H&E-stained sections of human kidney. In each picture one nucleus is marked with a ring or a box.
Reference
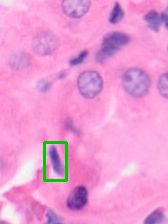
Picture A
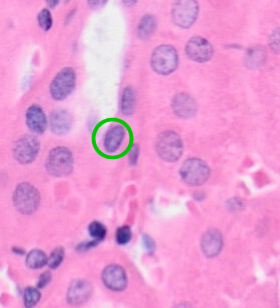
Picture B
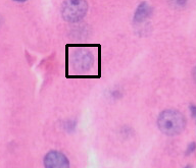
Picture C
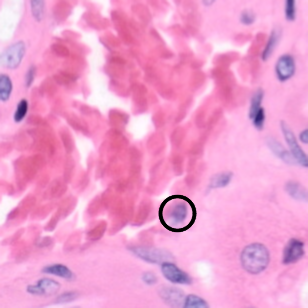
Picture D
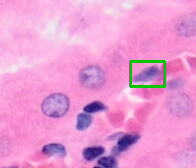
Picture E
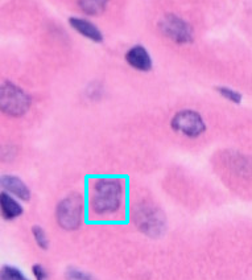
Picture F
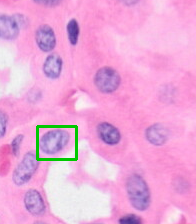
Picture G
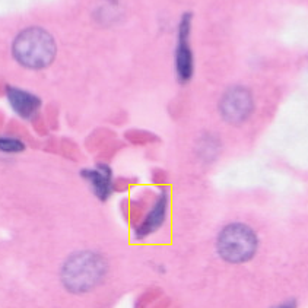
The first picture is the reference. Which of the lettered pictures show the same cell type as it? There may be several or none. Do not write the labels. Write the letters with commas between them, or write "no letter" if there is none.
C, D, G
